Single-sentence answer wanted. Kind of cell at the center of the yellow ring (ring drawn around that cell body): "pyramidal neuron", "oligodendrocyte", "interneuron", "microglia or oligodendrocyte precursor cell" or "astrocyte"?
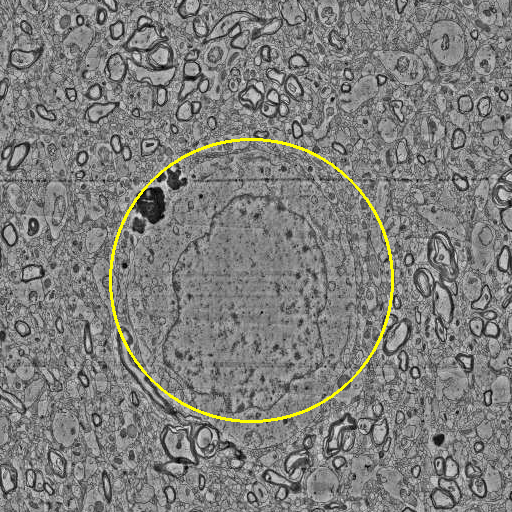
The cell centered in the ring is an interneuron.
